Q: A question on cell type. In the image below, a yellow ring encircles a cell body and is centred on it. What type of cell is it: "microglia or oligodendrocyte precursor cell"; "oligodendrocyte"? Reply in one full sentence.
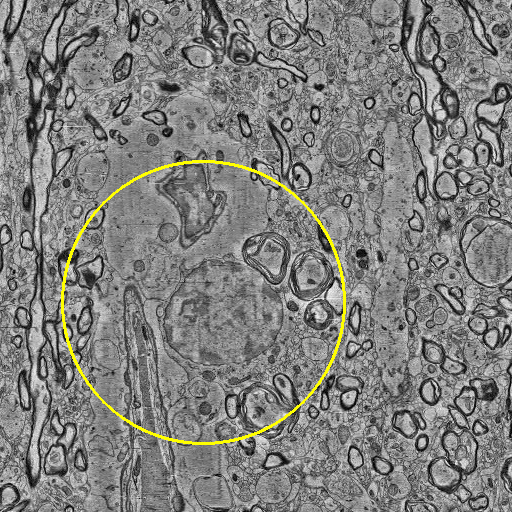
It is an oligodendrocyte whose cell body sits at the centre of the yellow ring in the image.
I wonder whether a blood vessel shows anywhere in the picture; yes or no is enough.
Yes.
